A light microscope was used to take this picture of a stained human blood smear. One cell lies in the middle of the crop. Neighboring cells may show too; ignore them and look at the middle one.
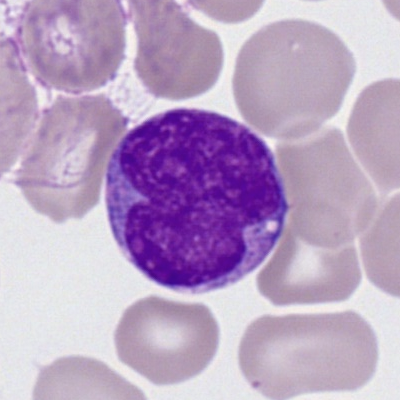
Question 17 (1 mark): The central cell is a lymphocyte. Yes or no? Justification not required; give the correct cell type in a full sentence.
No, a lymphocyte is not what the central cell is; it is a myeloblast.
